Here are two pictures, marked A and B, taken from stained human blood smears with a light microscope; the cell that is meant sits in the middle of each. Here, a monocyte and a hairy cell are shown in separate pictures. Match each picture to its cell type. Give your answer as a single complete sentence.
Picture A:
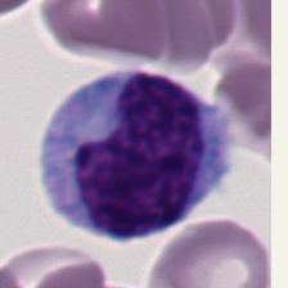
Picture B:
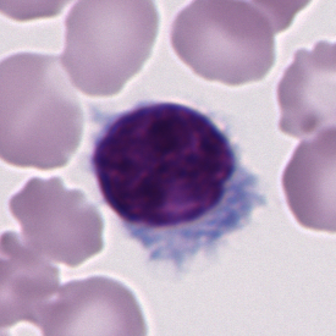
Picture B shows a hairy cell, while picture A shows a monocyte.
